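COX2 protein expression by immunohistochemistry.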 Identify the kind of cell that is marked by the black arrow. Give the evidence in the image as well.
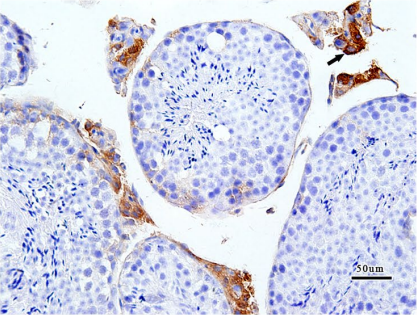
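The arrow points to a cluster of polygonal cells lying between round seminiferous tubules. These cells have round nuclei and abundant cytoplasm stained dark brown.
Hence: Leydig cells.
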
